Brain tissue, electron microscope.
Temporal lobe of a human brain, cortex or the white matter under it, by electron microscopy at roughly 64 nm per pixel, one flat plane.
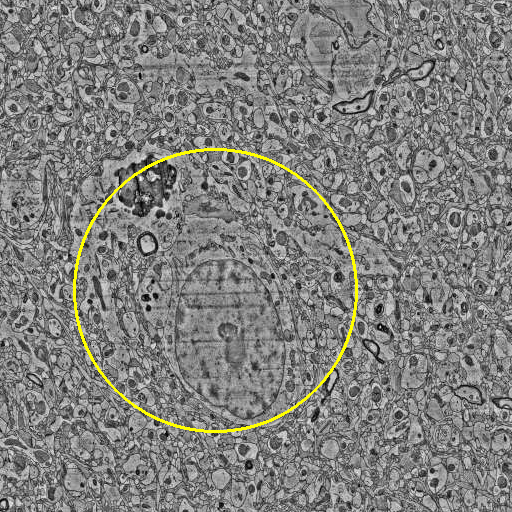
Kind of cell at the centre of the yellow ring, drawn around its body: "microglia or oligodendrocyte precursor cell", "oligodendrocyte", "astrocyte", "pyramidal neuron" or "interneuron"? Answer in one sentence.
The ring's centre falls on an interneuron.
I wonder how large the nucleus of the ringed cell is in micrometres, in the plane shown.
In this plane, approximately 10 by 7 micrometers.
